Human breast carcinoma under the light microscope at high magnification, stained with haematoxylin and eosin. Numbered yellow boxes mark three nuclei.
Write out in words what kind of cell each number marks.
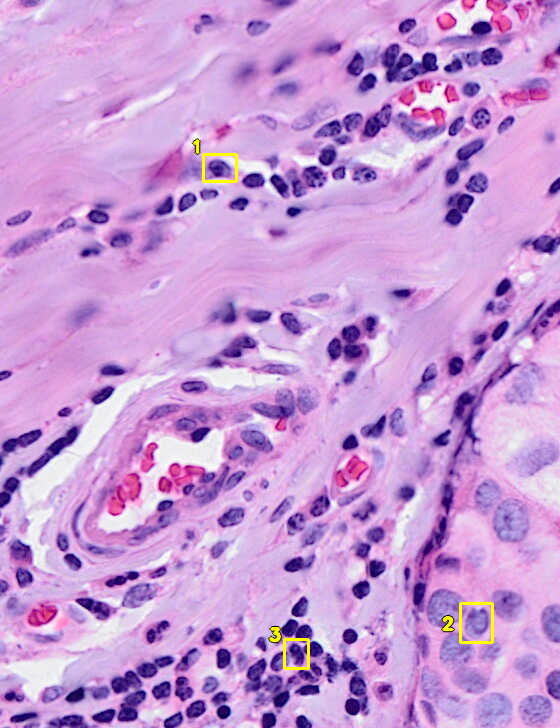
Cell 1 is a lymphocyte, cell 2 is a carcinoma cell and cell 3 is a lymphocyte.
